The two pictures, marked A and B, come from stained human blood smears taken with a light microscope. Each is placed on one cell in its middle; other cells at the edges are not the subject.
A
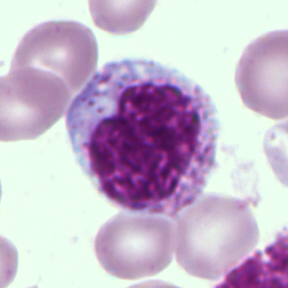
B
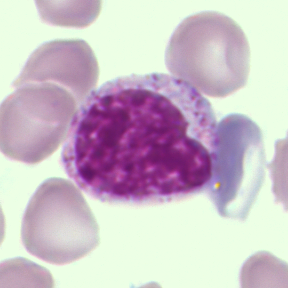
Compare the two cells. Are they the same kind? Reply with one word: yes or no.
yes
